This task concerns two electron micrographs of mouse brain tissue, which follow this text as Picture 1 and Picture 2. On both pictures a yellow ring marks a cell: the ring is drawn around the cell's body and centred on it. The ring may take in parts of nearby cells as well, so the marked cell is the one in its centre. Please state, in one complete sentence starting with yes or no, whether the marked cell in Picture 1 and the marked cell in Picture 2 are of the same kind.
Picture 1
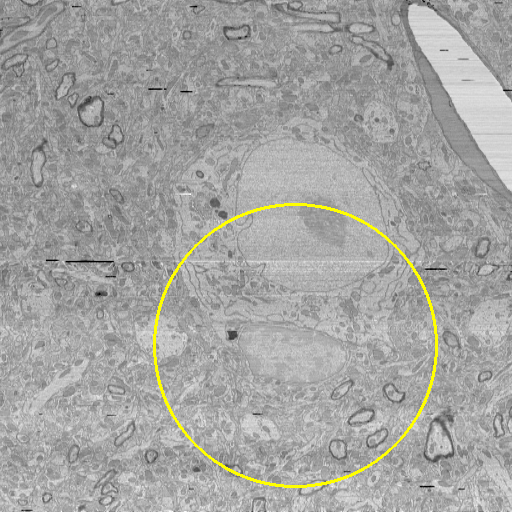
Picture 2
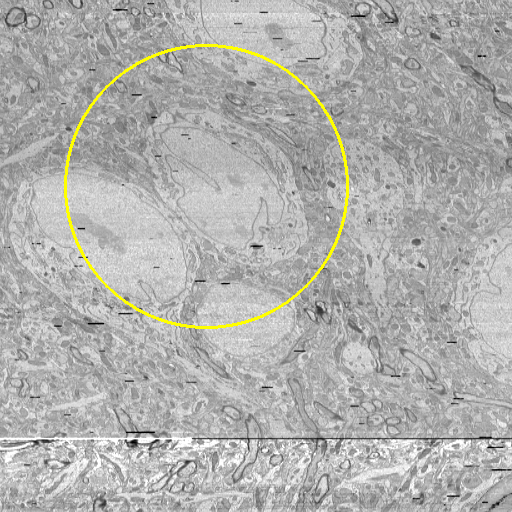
No, the marked cells in the two pictures are of two kinds.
